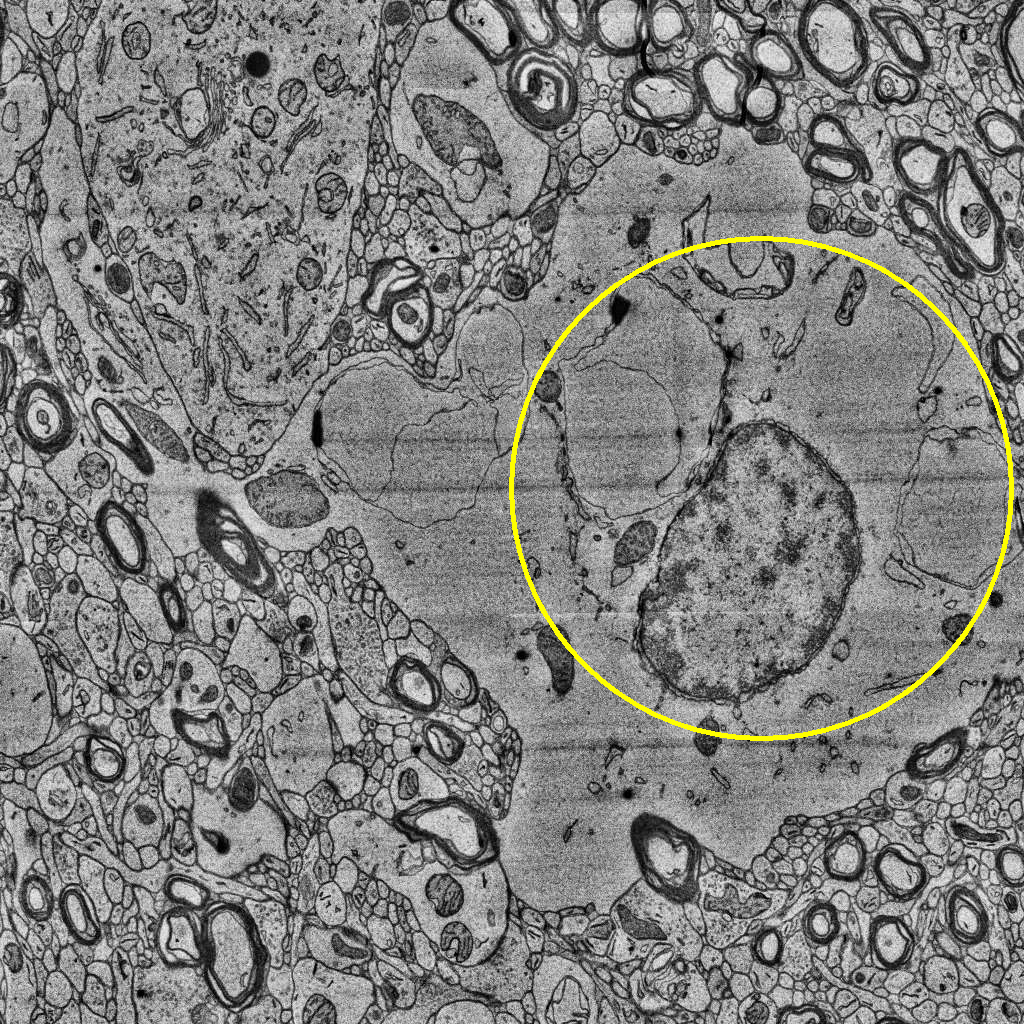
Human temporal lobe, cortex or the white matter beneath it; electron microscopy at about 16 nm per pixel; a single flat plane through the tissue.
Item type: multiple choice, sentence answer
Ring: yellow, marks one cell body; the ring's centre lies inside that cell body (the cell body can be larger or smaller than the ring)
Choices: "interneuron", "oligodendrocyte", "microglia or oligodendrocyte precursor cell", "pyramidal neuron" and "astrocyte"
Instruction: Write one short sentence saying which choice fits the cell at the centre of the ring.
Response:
The centre of this ring lies on an astrocyte.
